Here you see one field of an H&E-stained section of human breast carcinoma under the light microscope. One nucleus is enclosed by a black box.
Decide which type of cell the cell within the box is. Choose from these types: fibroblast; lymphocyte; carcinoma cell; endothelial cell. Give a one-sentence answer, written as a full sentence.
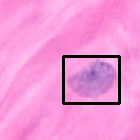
By cell type, the cell within the box is a fibroblast.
